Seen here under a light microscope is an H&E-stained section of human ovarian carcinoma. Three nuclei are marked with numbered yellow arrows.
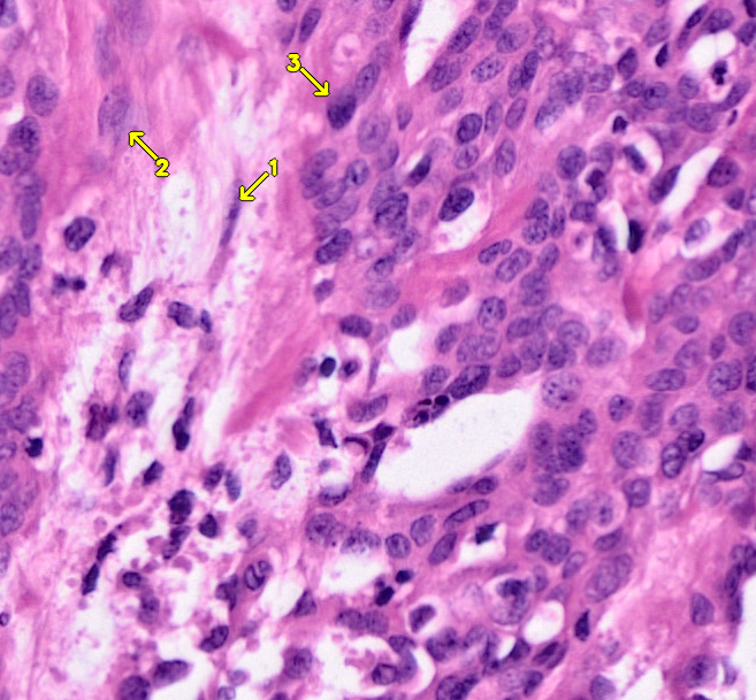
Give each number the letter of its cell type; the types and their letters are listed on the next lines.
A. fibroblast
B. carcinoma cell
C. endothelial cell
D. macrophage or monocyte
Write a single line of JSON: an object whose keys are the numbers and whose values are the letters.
{"1": "A", "2": "A", "3": "B"}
